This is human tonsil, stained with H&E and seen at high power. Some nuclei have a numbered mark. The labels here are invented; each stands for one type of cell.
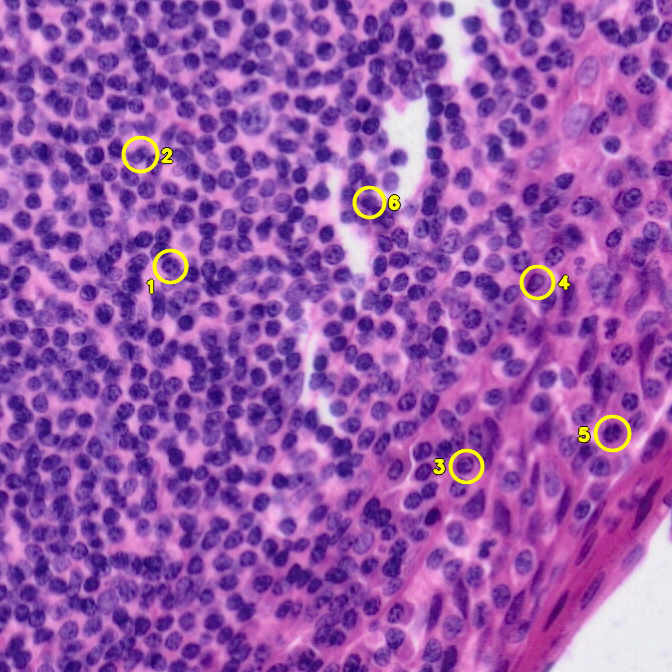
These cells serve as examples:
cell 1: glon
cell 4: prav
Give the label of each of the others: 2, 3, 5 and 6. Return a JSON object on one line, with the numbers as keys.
{"2": "glon", "3": "prav", "5": "prav", "6": "glon"}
